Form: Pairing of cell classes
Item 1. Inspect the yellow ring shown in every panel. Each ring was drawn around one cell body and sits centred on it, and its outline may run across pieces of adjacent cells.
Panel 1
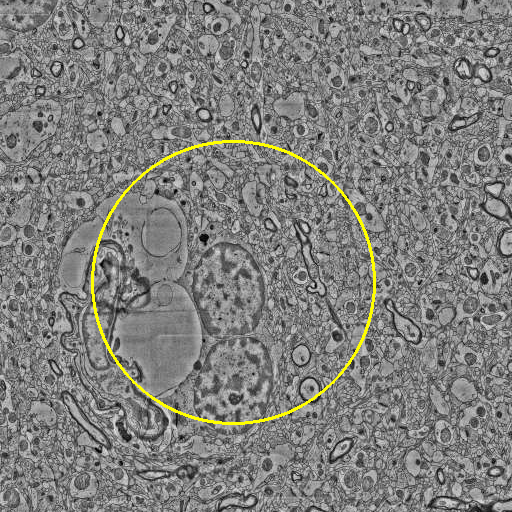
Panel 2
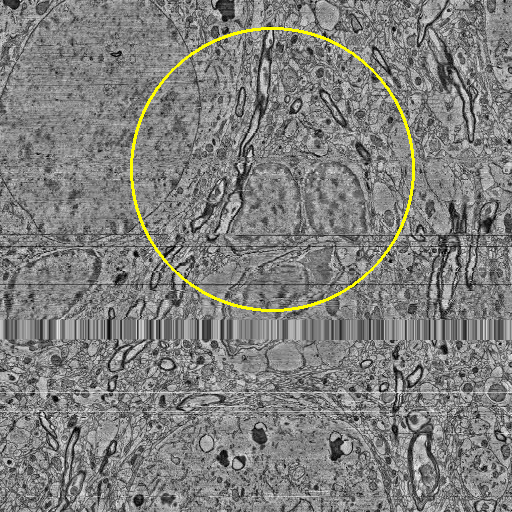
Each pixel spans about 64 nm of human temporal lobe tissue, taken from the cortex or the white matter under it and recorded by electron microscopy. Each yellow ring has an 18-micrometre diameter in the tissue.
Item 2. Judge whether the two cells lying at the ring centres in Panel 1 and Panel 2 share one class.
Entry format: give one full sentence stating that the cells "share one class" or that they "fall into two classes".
The cells at the ring centres in Panel 1 and Panel 2 share one class.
